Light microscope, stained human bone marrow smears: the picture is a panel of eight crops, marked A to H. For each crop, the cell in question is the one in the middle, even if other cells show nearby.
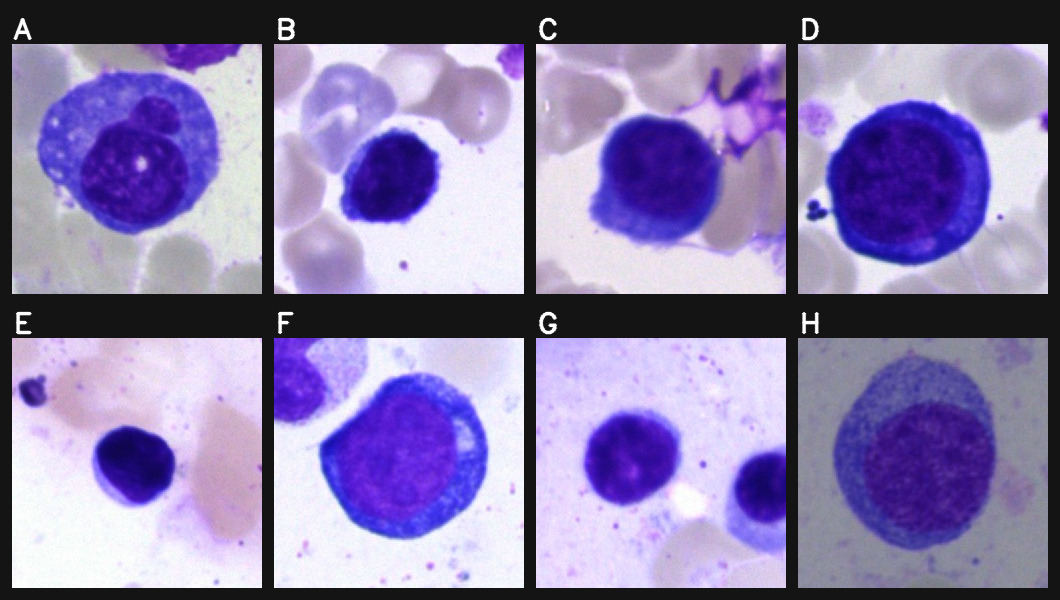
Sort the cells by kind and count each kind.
plasma cell: 3
lymphocyte: 3
proerythroblast: 2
